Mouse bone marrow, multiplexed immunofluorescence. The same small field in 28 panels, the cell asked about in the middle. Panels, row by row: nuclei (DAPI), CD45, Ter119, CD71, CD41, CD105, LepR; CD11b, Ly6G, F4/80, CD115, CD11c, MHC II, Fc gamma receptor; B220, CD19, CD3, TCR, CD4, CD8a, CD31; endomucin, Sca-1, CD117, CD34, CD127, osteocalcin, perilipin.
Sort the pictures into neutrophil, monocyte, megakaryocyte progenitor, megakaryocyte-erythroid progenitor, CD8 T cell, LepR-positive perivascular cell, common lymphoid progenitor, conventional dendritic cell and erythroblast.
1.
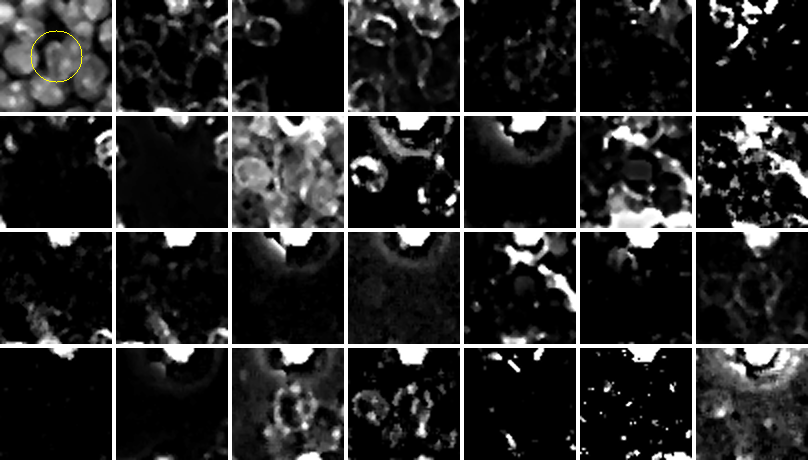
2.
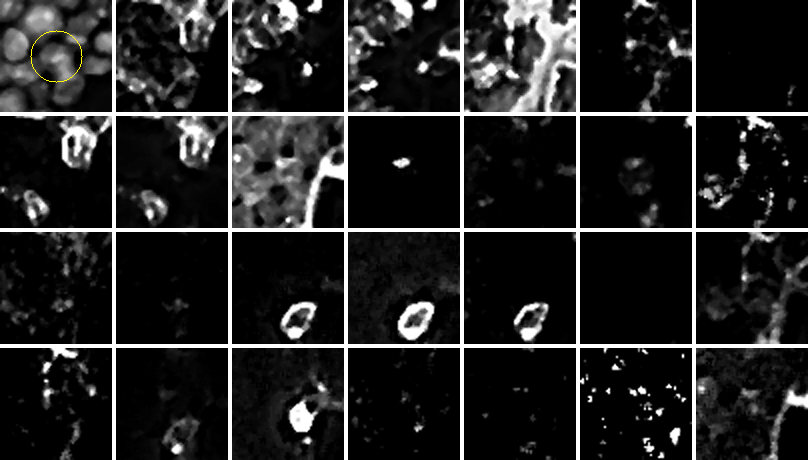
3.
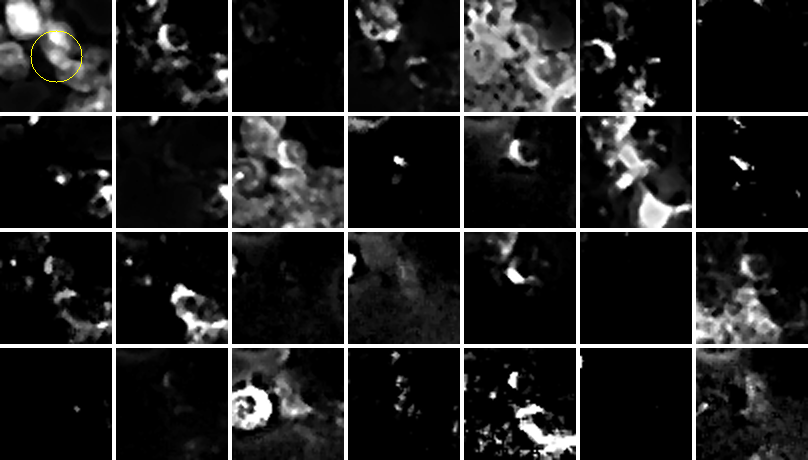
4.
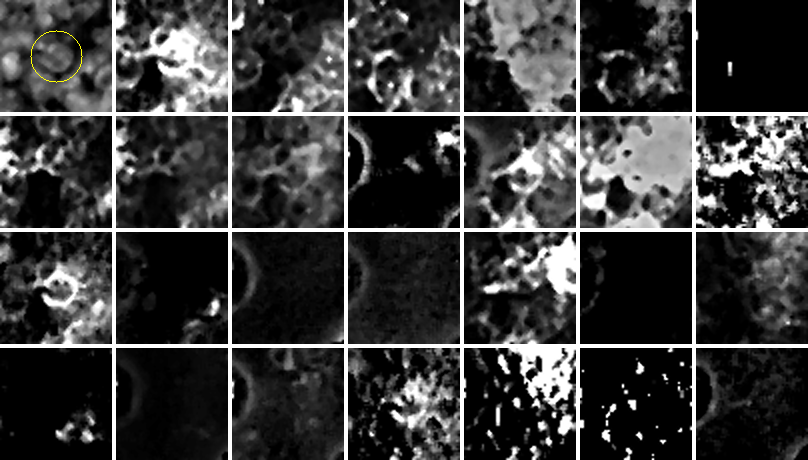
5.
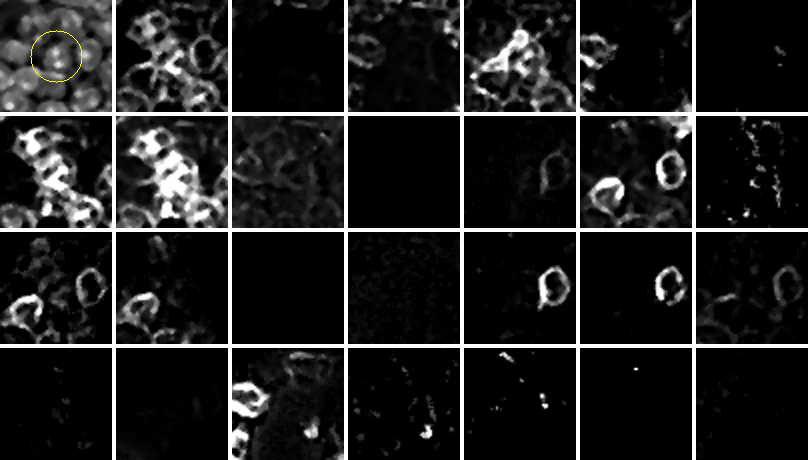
Megakaryocyte-erythroid progenitors: 1, 2
Megakaryocyte progenitors: 3
Conventional dendritic cells: 4
Neutrophils: 5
